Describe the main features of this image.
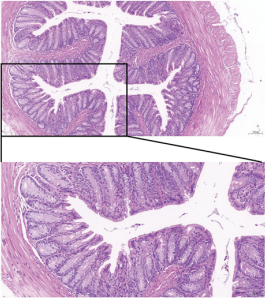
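This is a cross-section of the colon wall, stained pink and purple. The lumen in the middle is white and branched, because the mucosa is thrown into folds. The mucosa is packed with long, straight glands that run in parallel toward the lumen. Their purple nuclei line up at the base of the epithelium, and many cells hold pale, clear droplets, which gives the glands a bubbly look. Thin strands of connective tissue lie between neighbouring glands.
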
